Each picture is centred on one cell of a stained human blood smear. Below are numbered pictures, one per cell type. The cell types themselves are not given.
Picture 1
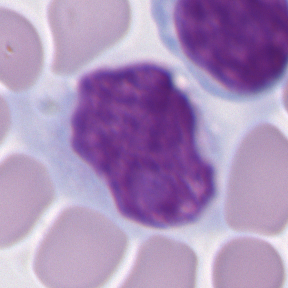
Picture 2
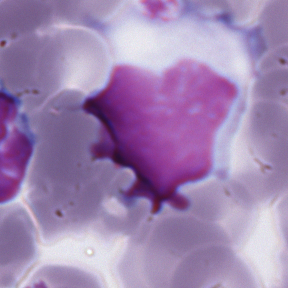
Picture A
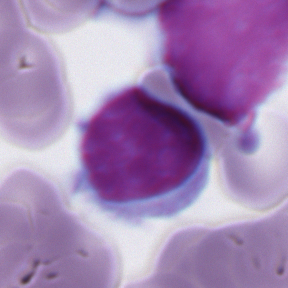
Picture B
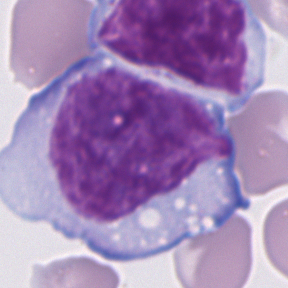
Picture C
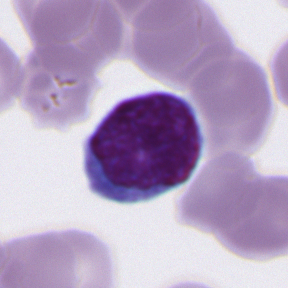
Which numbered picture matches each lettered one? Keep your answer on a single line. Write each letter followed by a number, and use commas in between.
A 2, B 1, C 2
